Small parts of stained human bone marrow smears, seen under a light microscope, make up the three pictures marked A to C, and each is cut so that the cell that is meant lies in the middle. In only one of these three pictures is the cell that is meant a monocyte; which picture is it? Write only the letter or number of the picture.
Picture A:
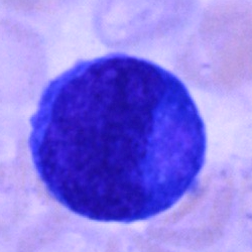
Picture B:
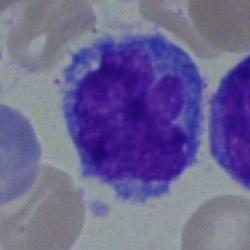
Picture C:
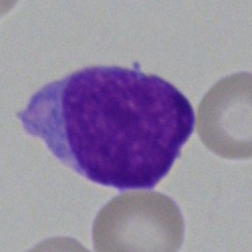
B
